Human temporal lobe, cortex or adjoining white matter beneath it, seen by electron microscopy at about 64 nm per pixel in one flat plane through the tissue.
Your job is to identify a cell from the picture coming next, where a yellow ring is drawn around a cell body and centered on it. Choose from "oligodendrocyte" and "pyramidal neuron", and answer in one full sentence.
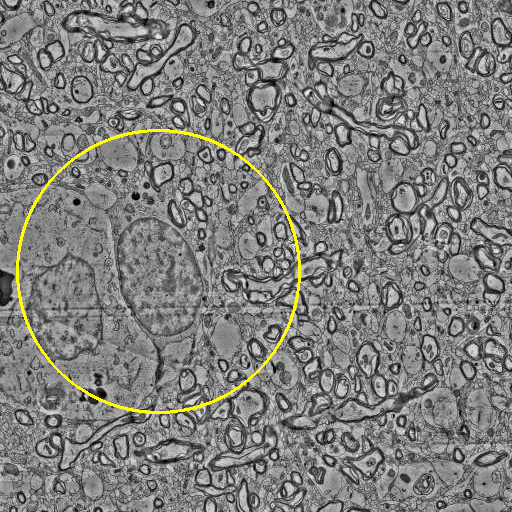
Centered in the yellow ring of the picture is the body of an oligodendrocyte.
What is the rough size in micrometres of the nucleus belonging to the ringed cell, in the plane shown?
In this plane the nucleus measures roughly 8 by 5 micrometers.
